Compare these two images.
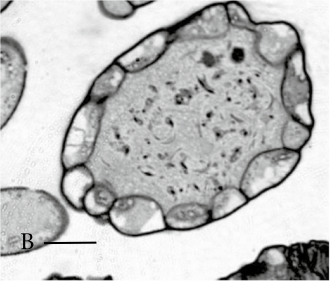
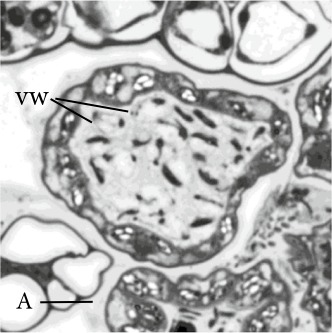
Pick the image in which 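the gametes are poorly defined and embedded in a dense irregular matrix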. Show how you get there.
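Second image: the interior holds many distinct, dark, elongated bodies spaced apart, each in a pale round space.
The first image.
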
